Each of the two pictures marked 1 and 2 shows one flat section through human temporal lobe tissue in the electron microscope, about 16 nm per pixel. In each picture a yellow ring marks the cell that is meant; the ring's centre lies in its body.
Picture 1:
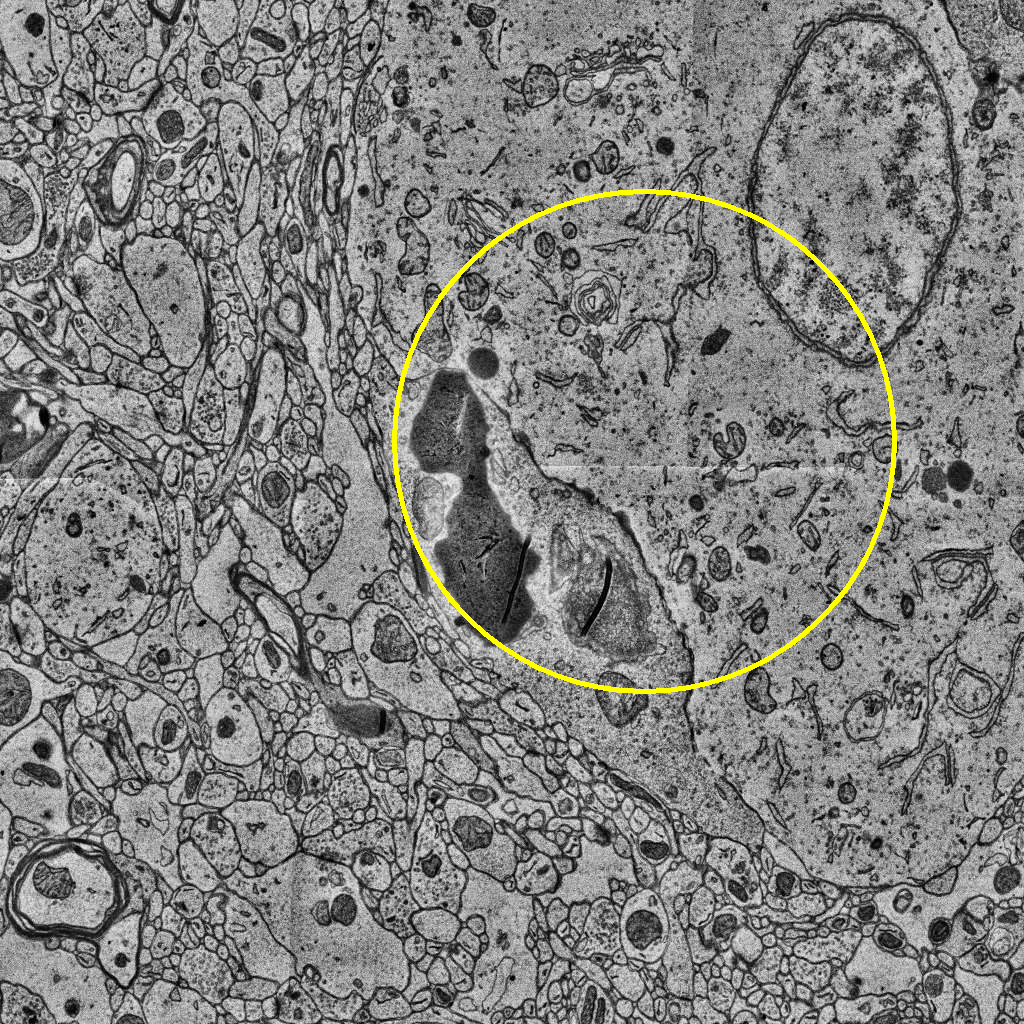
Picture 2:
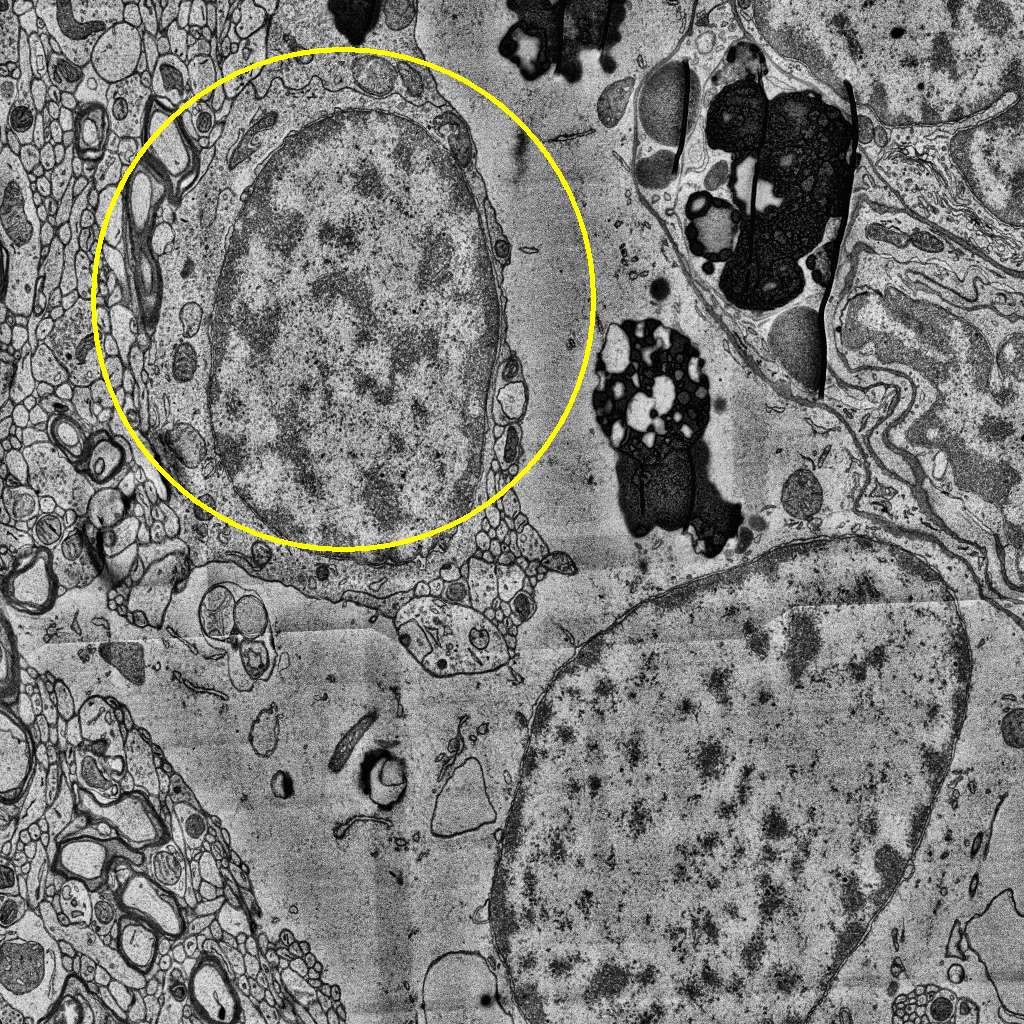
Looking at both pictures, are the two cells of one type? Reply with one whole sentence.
Yes, the two pictures both show oligodendrocytes.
